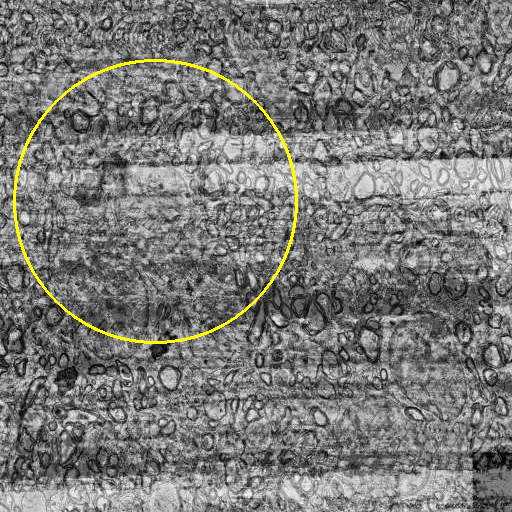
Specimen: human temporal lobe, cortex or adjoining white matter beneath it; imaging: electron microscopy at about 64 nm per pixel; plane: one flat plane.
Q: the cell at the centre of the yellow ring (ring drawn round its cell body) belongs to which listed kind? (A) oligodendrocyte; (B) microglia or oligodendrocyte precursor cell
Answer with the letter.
A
